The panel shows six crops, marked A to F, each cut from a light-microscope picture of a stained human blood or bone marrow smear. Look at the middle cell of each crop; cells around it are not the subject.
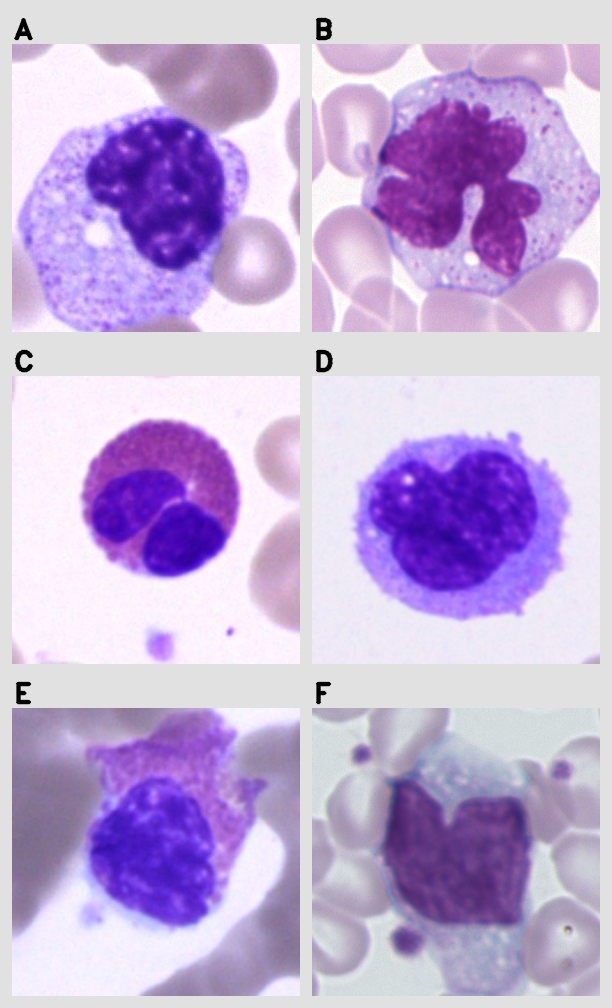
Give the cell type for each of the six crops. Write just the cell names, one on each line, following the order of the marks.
myelocyte
monocyte
eosinophil
monocyte
eosinophil
monocyte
